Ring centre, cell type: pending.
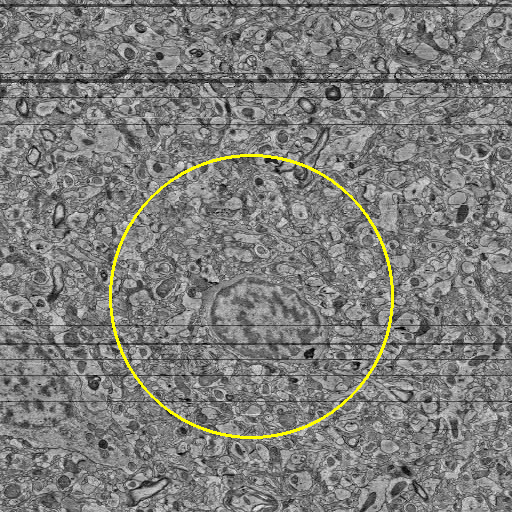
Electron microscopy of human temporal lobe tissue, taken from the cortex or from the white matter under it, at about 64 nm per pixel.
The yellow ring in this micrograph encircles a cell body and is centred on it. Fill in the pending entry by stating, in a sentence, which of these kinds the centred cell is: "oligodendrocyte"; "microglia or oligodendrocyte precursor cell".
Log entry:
The centred cell is recorded as an oligodendrocyte.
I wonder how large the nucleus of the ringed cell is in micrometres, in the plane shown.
In this plane the nucleus measures roughly 7 by 5 micrometres.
